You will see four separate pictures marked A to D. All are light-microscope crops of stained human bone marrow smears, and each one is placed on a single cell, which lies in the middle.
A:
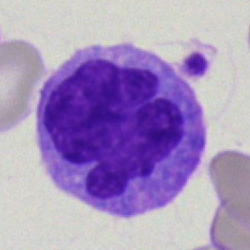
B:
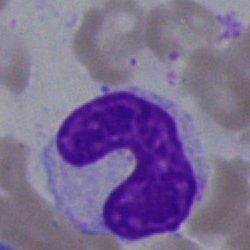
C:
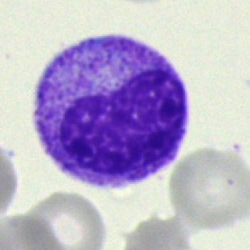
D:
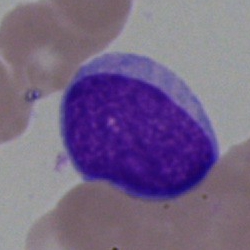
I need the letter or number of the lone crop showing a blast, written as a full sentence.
Crop D is the correct crop, and it shows a blast.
